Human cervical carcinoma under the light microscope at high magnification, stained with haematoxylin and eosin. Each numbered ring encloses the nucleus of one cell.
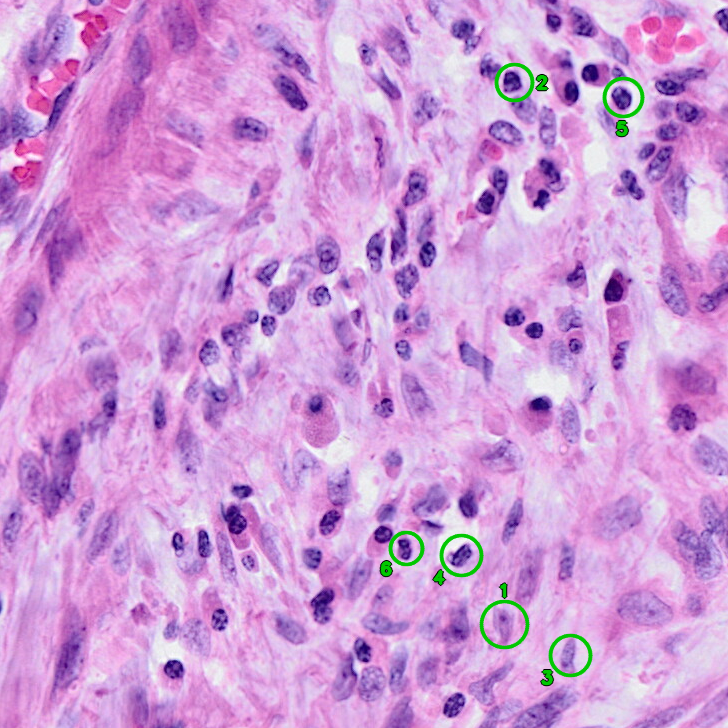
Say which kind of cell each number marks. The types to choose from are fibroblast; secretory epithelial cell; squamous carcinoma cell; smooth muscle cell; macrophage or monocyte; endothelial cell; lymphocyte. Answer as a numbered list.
1. fibroblast
2. lymphocyte
3. fibroblast
4. lymphocyte
5. lymphocyte
6. lymphocyte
